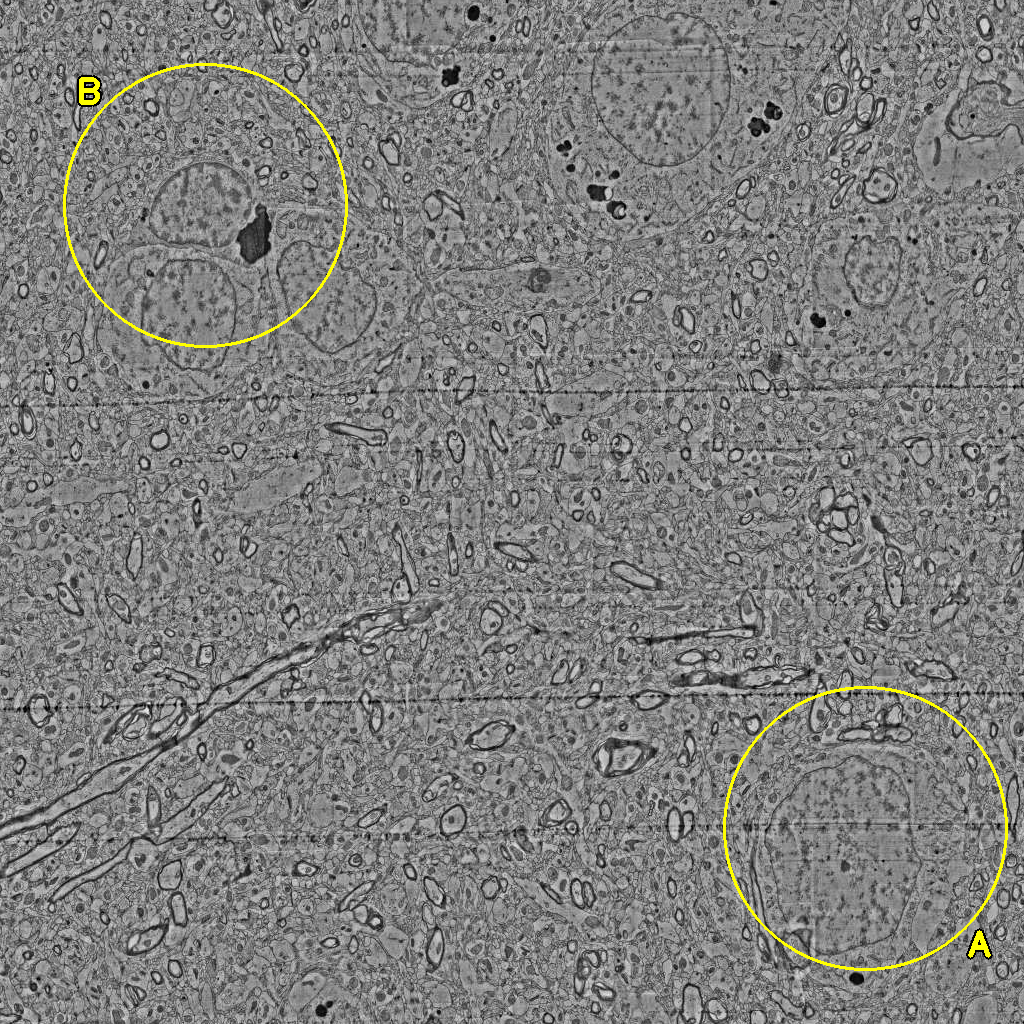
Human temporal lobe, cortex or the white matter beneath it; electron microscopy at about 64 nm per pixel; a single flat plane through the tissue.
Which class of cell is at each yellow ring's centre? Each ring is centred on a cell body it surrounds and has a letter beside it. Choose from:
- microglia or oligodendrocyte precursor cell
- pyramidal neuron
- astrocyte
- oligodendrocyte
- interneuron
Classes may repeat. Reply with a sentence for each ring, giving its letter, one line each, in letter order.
The ring lettered A is centred on a pyramidal neuron.
The ring lettered B is centred on an oligodendrocyte.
